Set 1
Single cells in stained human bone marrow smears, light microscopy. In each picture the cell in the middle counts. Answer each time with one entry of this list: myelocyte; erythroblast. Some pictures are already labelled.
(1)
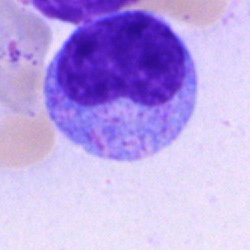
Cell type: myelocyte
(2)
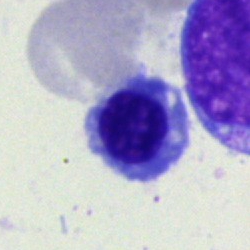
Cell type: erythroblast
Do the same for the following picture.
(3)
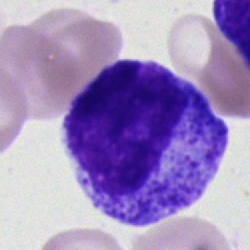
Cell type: myelocyte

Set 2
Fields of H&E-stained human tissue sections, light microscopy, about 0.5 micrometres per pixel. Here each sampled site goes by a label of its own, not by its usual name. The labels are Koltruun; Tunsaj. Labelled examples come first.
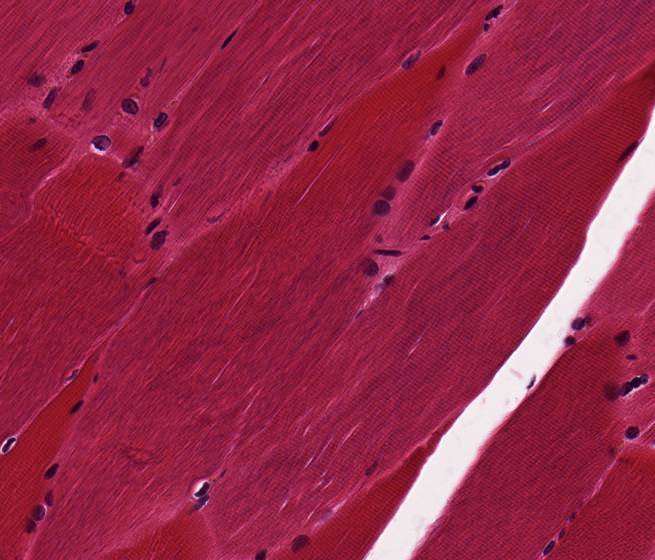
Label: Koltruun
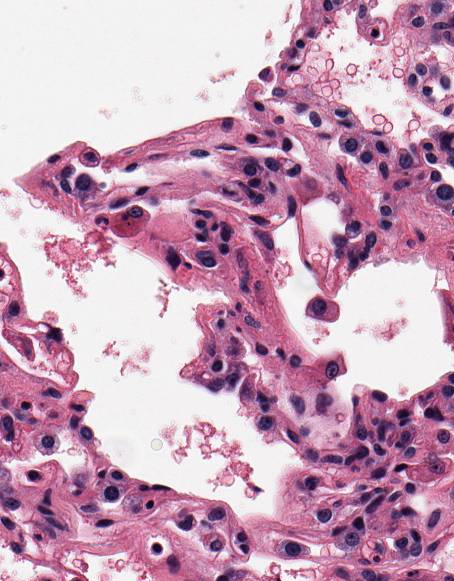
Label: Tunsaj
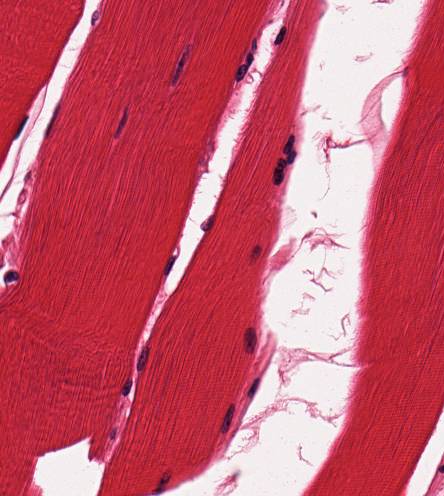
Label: Koltruun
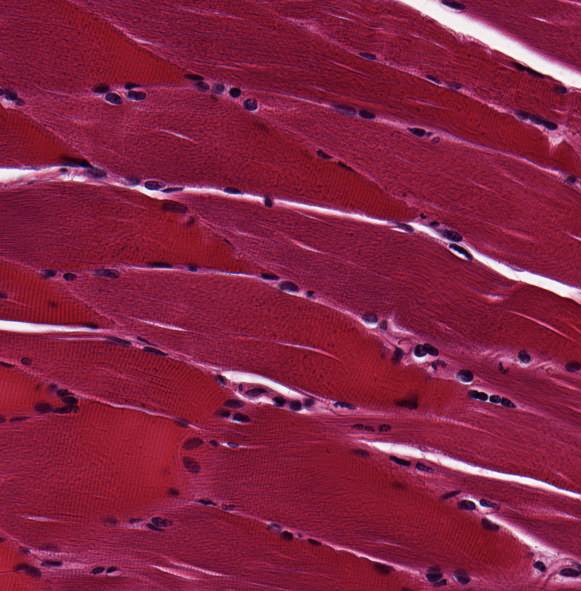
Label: Koltruun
